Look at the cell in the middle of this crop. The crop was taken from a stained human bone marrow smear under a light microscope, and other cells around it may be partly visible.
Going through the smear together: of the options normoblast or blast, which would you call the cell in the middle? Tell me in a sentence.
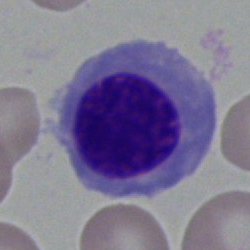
The cell under consideration, at the middle of the crop, is a normoblast.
